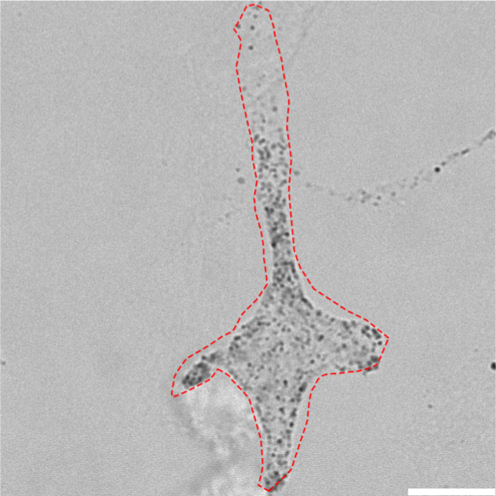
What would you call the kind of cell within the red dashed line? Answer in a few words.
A: melanocytes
